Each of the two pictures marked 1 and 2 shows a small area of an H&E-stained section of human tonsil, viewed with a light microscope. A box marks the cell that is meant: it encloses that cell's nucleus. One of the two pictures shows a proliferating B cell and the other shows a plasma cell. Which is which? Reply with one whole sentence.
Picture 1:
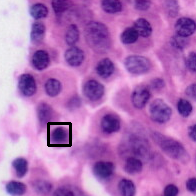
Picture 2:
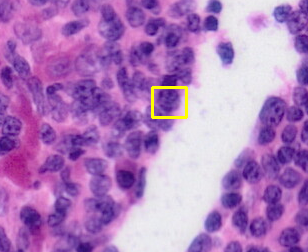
It is picture 1 that shows a plasma cell, and picture 2 that shows a proliferating B cell.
